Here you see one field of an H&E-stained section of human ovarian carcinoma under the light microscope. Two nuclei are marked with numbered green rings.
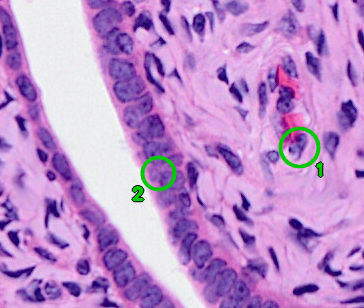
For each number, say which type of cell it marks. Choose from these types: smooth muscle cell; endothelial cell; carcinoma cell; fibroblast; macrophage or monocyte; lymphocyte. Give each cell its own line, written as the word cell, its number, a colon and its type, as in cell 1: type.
cell 1: endothelial cell
cell 2: carcinoma cell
